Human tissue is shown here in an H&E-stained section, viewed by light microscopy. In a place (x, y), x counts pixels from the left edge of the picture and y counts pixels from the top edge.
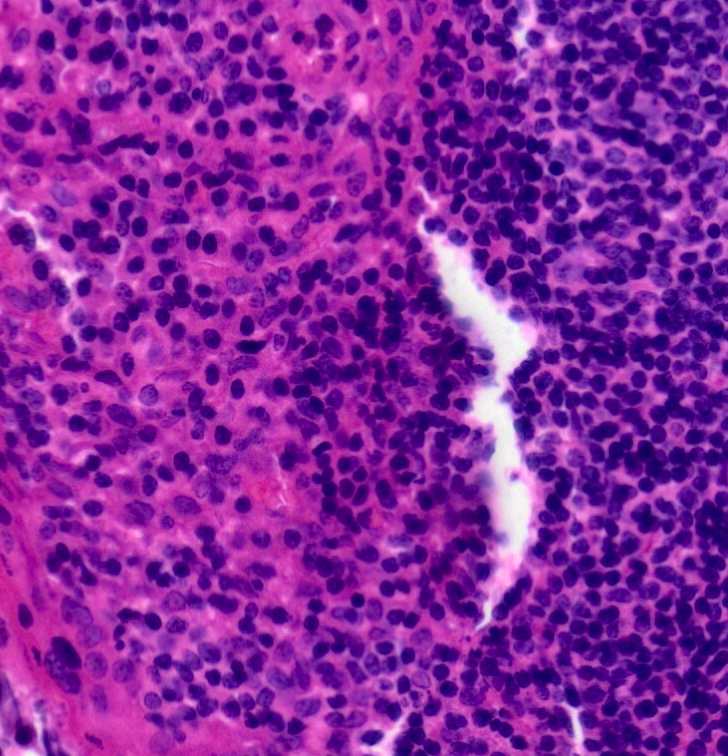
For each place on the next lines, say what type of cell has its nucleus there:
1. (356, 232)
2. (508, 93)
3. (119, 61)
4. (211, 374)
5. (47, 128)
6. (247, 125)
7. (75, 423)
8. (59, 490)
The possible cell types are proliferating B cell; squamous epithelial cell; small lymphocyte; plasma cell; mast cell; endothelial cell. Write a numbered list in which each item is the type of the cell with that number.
1. squamous epithelial cell
2. small lymphocyte
3. plasma cell
4. plasma cell
5. squamous epithelial cell
6. plasma cell
7. plasma cell
8. squamous epithelial cell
